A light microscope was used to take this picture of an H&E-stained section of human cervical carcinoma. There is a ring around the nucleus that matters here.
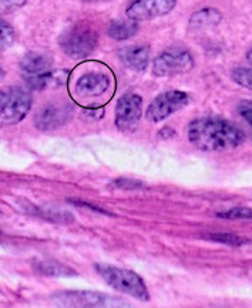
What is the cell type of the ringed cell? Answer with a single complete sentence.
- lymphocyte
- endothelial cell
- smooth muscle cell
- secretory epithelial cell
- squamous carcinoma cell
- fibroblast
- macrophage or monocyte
In the tissue under study, the ringed cell is a squamous carcinoma cell.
